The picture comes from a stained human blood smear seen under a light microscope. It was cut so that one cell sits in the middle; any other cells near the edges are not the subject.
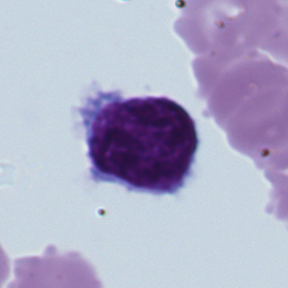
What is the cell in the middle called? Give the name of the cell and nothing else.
hairy cell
